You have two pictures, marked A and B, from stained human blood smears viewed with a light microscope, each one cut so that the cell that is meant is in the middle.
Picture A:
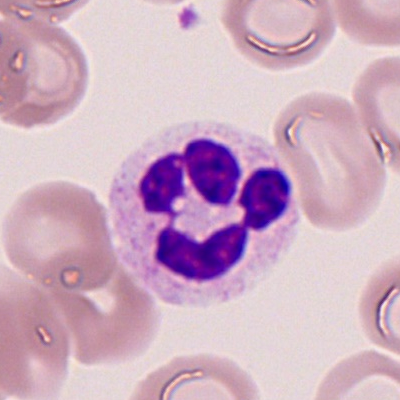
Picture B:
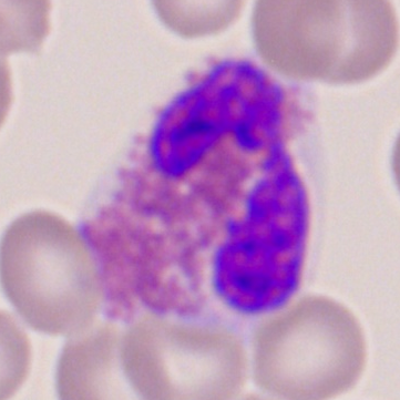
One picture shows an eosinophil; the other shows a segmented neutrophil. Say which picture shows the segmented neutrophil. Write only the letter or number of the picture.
A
